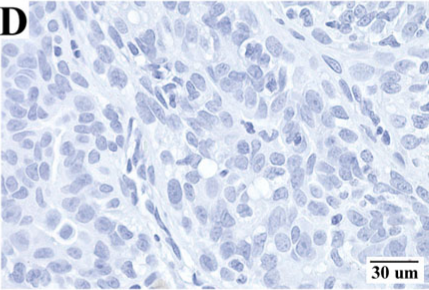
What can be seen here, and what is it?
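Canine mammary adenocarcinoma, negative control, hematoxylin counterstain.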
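The cells have oval to round, fairly pale nuclei with fine chromatin, and some nuclei show small nucleoli. The nuclei vary somewhat in size and shape. The cytoplasm is scant and pale, and the borders between cells are hard to make out. A few small clear spaces and thin strands of stroma interrupt the otherwise solid arrangement of cells.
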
